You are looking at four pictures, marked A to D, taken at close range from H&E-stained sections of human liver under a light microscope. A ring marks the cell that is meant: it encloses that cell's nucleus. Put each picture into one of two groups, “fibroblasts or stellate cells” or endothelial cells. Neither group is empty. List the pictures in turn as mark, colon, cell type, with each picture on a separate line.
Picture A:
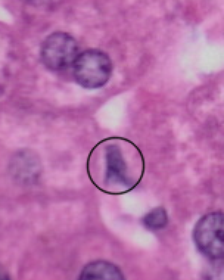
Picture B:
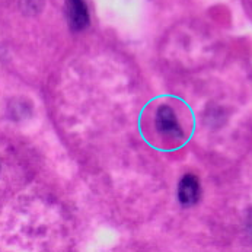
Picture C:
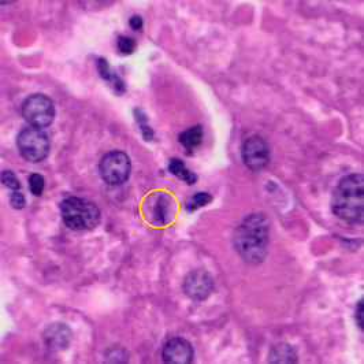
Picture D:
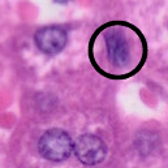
A: fibroblast or stellate cell
B: endothelial cell
C: fibroblast or stellate cell
D: fibroblast or stellate cell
